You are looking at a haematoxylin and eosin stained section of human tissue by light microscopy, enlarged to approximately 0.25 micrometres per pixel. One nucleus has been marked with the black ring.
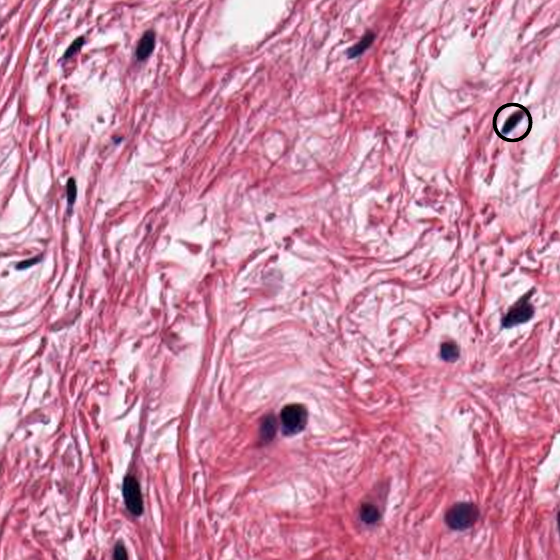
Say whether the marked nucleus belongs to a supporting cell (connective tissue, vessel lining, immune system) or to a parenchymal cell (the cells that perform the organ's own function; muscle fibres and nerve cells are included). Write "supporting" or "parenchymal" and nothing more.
supporting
